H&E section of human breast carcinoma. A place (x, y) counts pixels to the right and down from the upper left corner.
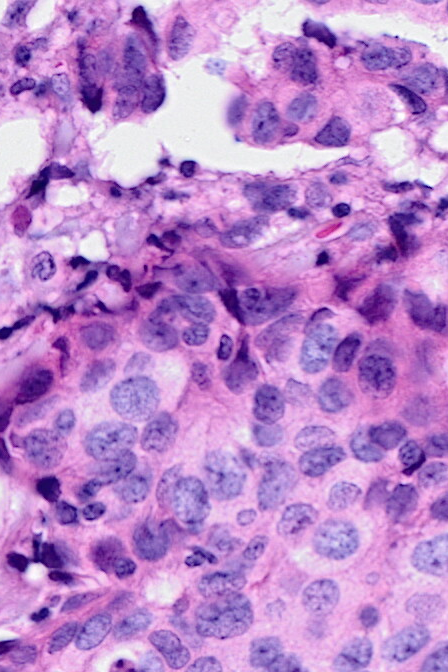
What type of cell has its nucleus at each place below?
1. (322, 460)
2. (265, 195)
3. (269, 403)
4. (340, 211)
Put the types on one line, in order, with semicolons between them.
carcinoma cell; carcinoma cell; carcinoma cell; lymphocyte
